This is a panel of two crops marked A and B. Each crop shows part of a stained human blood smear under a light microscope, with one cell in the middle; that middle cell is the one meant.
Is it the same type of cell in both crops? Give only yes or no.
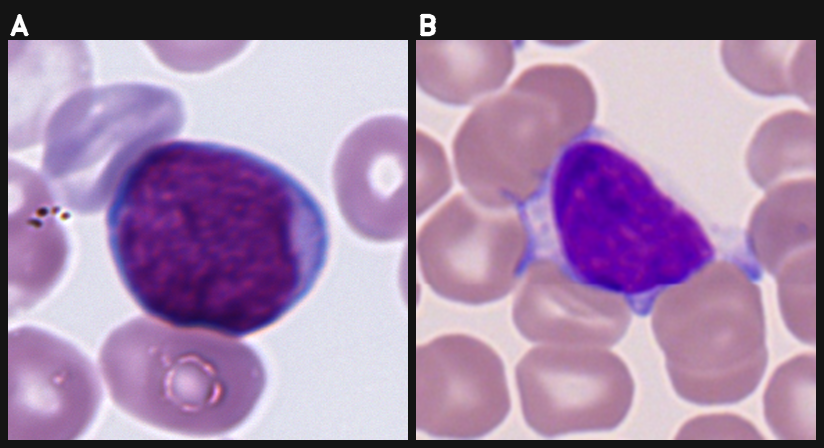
no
